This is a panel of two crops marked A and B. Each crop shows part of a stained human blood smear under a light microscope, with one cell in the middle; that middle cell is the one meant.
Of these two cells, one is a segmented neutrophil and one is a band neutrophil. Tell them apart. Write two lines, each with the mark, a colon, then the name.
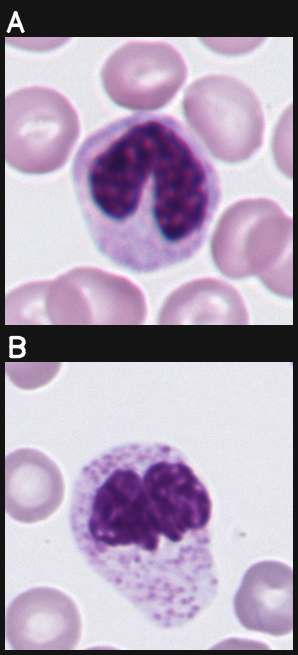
A: band neutrophil
B: segmented neutrophil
